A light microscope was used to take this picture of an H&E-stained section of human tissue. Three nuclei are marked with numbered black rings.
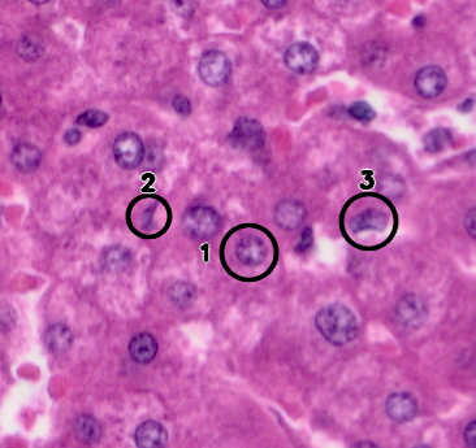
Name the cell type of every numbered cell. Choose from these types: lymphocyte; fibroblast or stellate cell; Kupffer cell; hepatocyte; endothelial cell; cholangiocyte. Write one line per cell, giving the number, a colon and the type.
1: hepatocyte
2: endothelial cell
3: endothelial cell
